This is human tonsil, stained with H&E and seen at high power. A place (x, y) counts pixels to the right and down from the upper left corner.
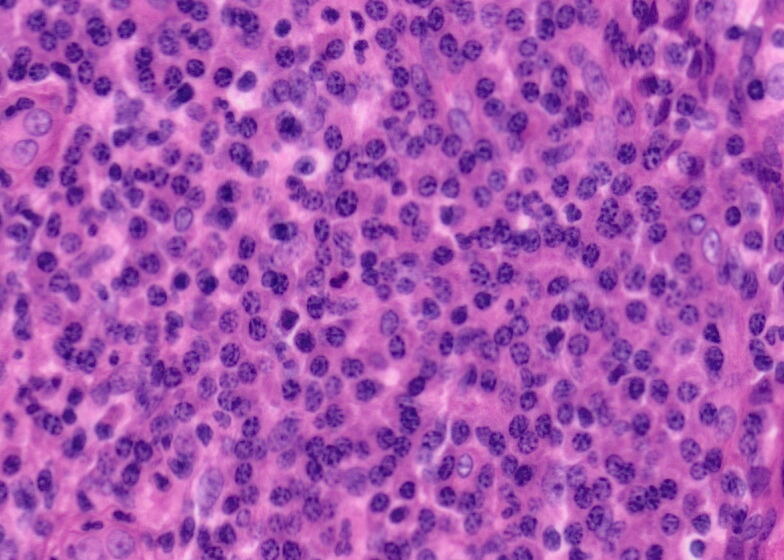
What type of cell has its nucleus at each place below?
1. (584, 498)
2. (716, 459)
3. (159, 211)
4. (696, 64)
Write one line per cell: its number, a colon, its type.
1: plasma cell
2: plasma cell
3: plasma cell
4: squamous epithelial cell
